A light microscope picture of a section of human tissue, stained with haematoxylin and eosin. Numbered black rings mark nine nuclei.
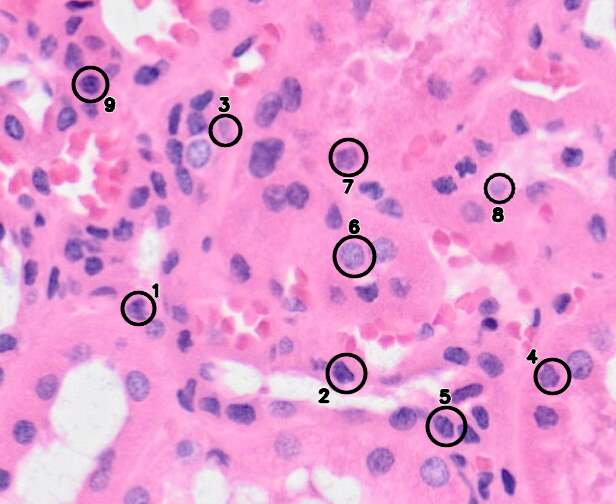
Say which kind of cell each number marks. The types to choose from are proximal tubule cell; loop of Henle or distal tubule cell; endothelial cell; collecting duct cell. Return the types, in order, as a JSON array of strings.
["collecting duct cell", "collecting duct cell", "collecting duct cell", "proximal tubule cell", "collecting duct cell", "loop of Henle or distal tubule cell", "proximal tubule cell", "loop of Henle or distal tubule cell", "collecting duct cell"]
